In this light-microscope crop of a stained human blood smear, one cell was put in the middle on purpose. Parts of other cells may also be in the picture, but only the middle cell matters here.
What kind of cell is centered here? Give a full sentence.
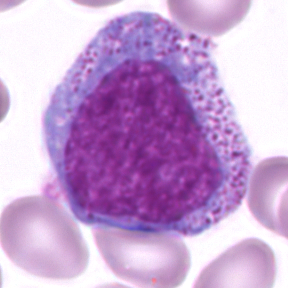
The middle cell in this particular crop is a promyelocyte.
